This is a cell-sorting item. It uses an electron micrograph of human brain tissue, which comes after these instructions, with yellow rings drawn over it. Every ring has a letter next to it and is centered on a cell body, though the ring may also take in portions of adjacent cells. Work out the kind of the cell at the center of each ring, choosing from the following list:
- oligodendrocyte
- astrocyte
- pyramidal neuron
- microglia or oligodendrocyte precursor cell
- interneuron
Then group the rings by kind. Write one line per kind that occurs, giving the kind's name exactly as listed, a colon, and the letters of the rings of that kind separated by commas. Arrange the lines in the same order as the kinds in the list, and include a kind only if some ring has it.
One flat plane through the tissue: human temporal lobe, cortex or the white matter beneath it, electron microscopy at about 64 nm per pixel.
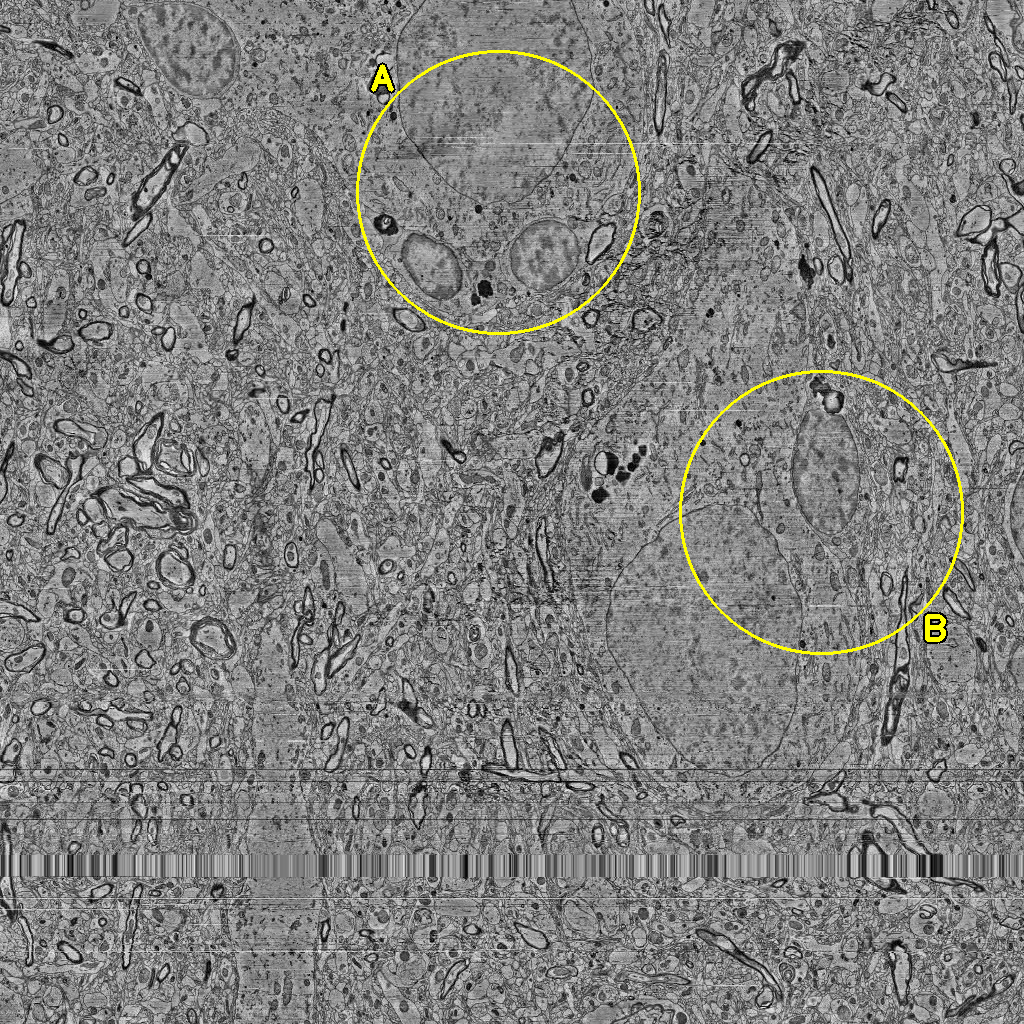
oligodendrocyte: B
pyramidal neuron: A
